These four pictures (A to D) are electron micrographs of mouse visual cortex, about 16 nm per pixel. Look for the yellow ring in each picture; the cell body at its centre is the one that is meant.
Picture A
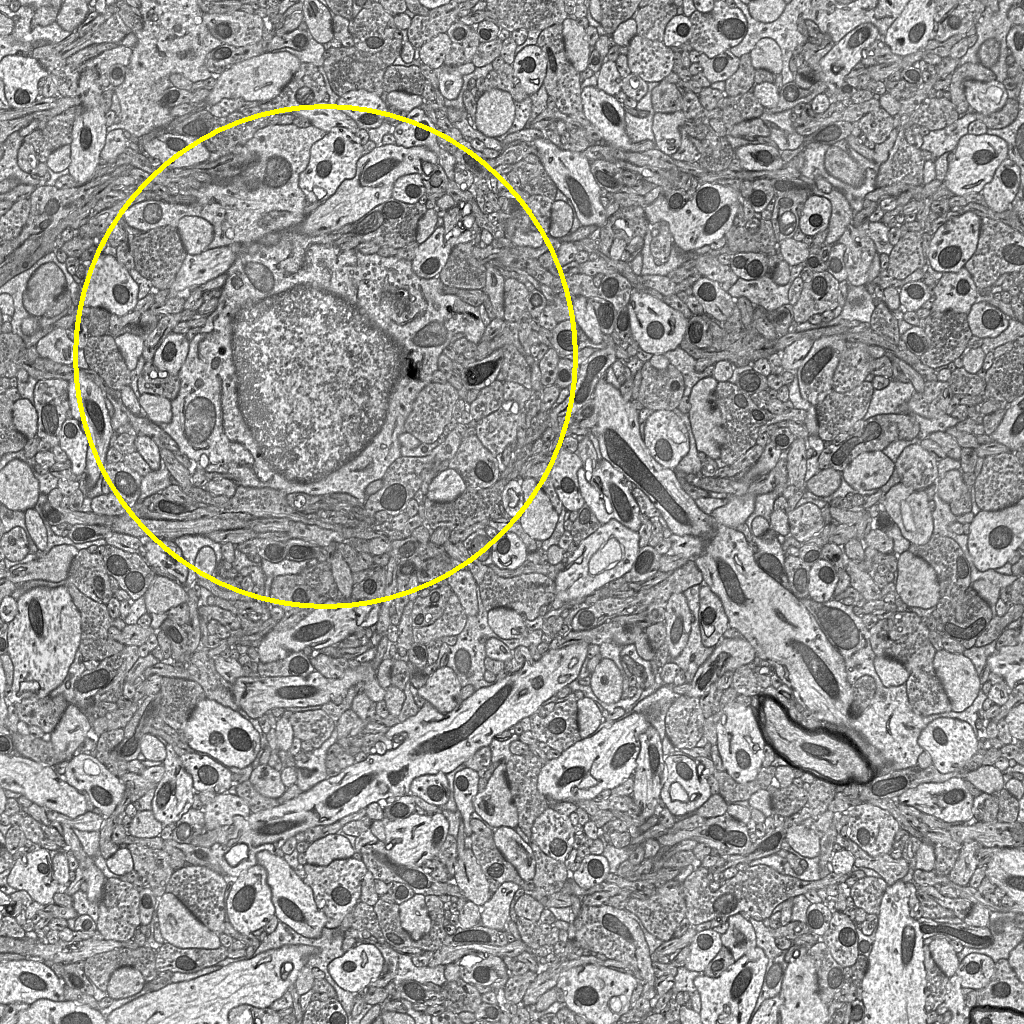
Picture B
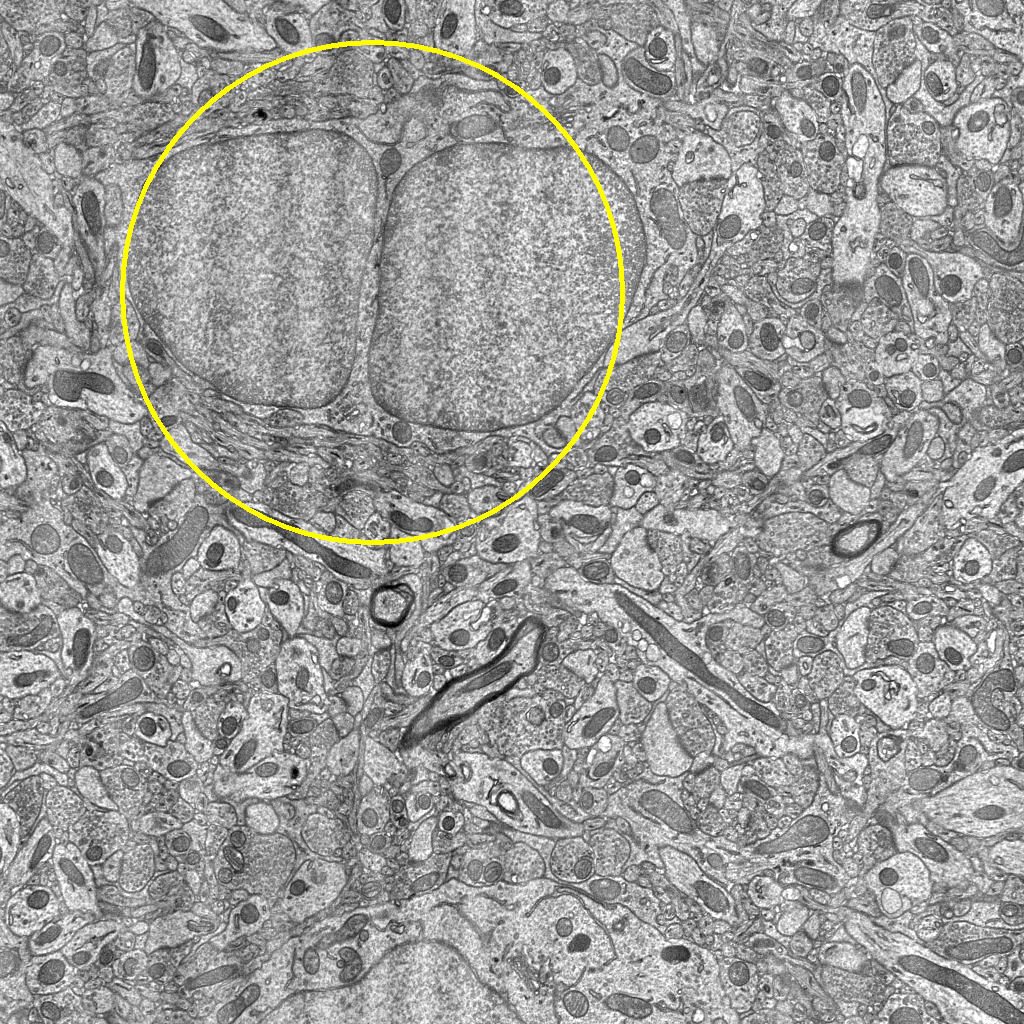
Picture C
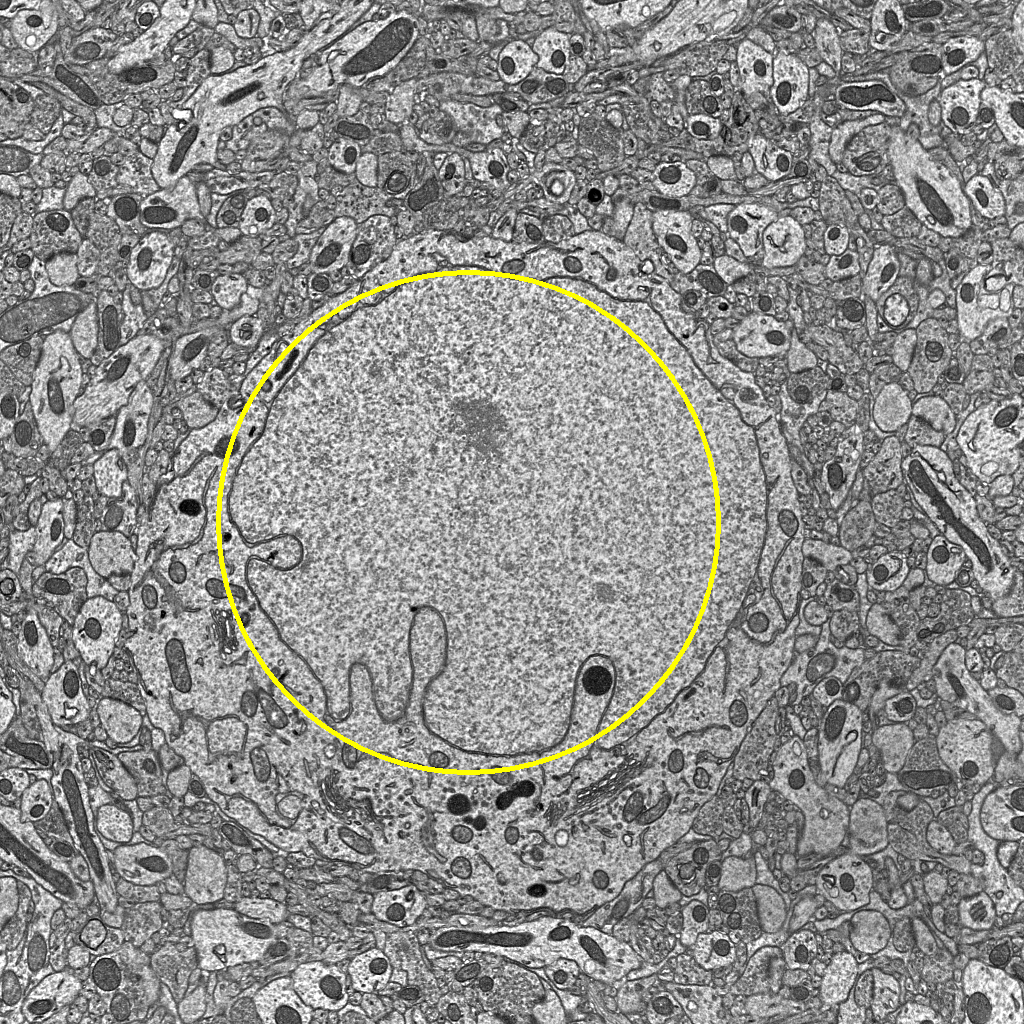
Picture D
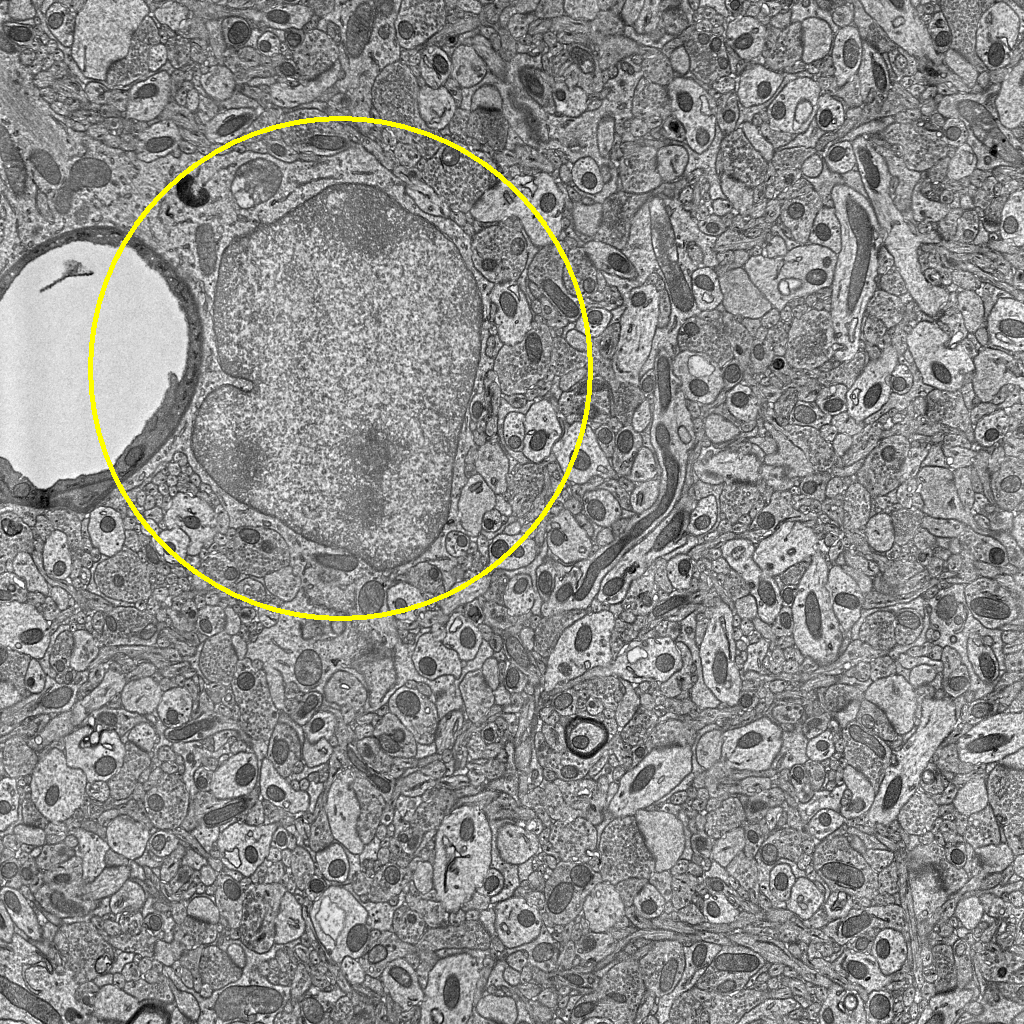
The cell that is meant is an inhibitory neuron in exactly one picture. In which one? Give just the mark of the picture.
C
